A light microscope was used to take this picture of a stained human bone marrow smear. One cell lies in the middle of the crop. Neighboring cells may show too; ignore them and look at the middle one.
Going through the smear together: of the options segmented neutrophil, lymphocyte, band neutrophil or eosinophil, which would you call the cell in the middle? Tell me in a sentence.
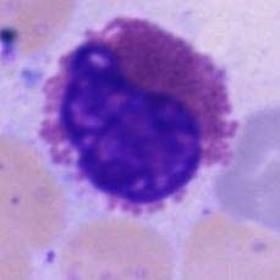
The central cell, amid any neighbouring cells, is an eosinophil.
